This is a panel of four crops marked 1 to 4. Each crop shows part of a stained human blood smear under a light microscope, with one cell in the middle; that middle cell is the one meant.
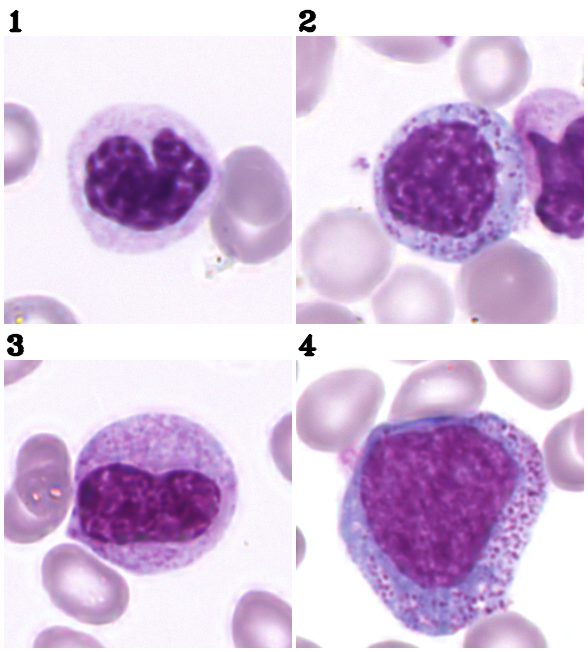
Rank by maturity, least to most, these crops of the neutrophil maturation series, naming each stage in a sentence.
Across the crops, maturity increases in the order crop 4 (a promyelocyte), crop 2 (a myelocyte), crop 3 (a metamyelocyte) and crop 1 (a band neutrophil).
